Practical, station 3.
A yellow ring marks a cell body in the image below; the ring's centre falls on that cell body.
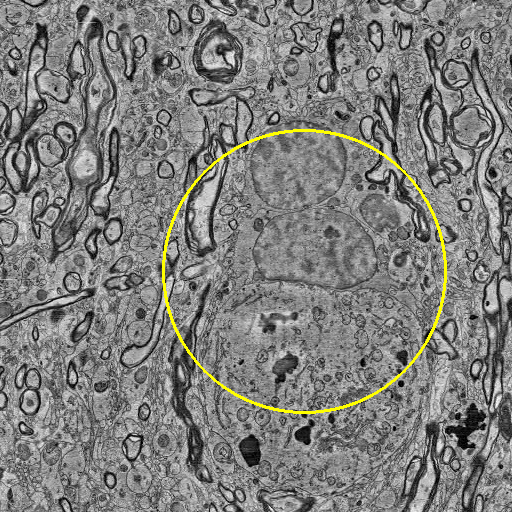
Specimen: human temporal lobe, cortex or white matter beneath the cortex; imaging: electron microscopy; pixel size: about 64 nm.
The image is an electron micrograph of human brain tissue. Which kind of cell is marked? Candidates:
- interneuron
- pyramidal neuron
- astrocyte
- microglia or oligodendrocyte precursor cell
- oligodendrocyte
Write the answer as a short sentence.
The marked cell body is that of an oligodendrocyte.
